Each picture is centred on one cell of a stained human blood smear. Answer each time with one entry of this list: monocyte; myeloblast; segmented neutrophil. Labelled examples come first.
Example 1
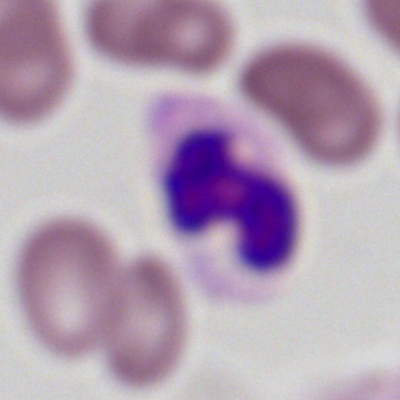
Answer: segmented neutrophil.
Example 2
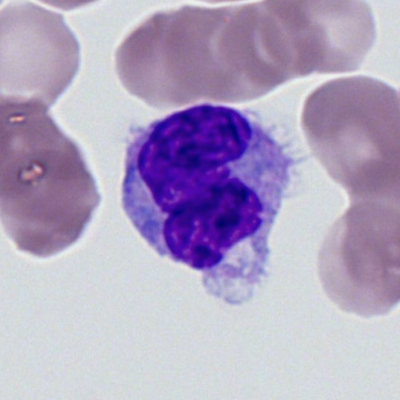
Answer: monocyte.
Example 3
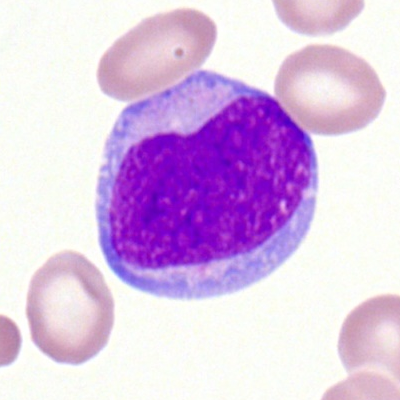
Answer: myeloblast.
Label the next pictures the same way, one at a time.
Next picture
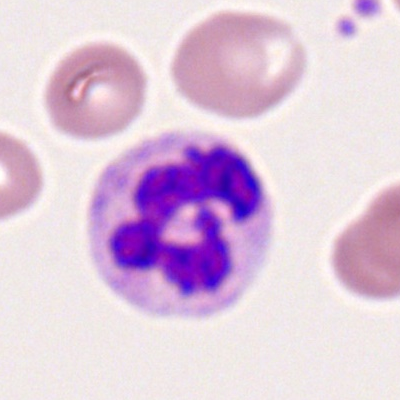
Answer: segmented neutrophil.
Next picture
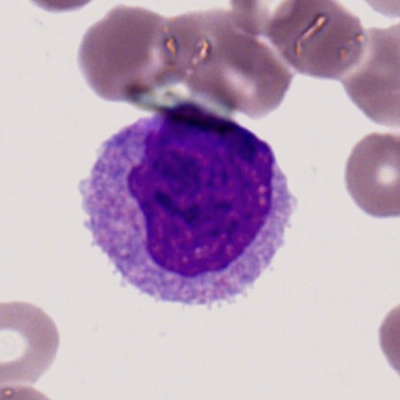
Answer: monocyte.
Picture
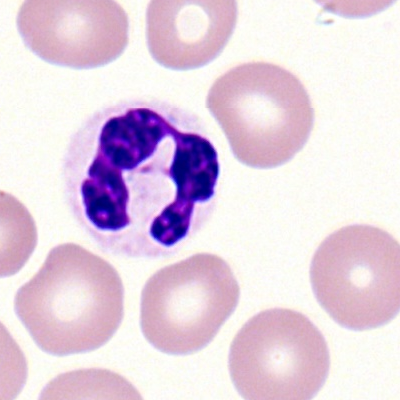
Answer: segmented neutrophil.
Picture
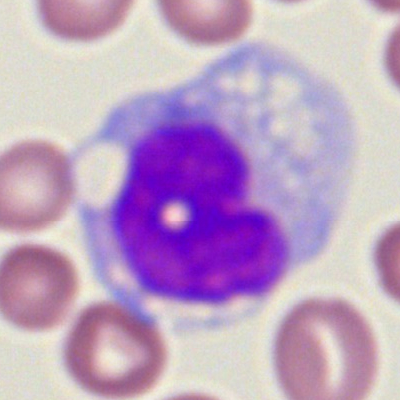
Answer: monocyte.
